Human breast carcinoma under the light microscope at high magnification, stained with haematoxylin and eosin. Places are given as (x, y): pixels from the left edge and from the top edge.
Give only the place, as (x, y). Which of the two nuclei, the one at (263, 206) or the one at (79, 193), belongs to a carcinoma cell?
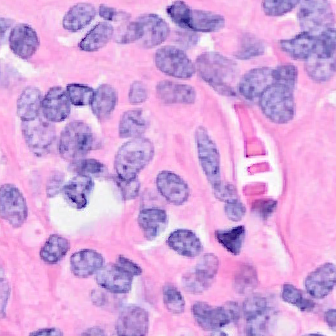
(79, 193)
